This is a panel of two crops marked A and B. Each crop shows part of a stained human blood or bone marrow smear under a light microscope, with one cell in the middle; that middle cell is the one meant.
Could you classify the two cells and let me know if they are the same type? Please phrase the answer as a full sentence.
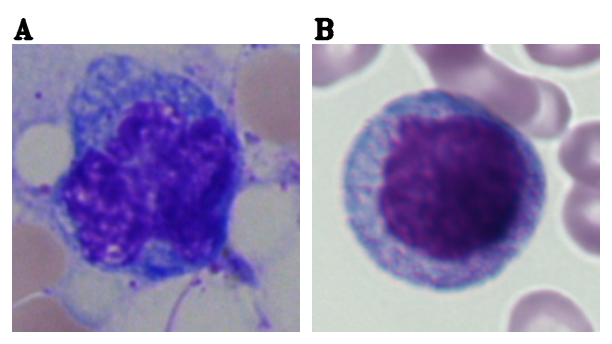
No, crop B holds a promyelocyte, while crop A holds a monocyte.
